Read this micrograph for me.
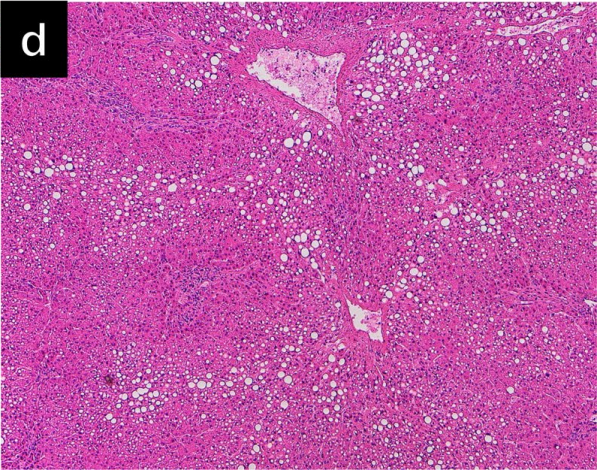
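This section shows liver parenchyma made of pink, polygonal hepatocytes arranged in cords, with small dark purple nuclei. Many hepatocytes hold clear, round, empty-looking vacuoles. The vacuoles range from small to large, and the larger ones fill much of the cell. Near the top of the field a vessel with an irregular lumen is surrounded by a small amount of connective tissue and scattered dark nuclei. A second, smaller vascular space lies lower in the field. The parenchyma looks fairly uniform throughout, with no sheets of atypical cells standing out from the hepatocytes.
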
